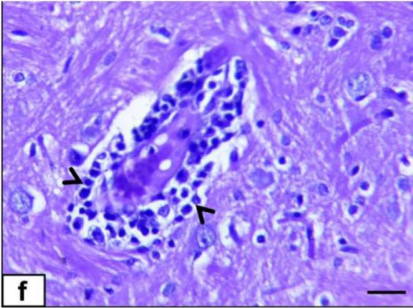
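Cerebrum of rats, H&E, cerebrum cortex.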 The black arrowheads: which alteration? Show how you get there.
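A blood vessel is surrounded by many small round dark nuclei. These cells fill the space around the vessel wall.
Conclusion: perivascular inflammatory cell infiltration in Virchow robin space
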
